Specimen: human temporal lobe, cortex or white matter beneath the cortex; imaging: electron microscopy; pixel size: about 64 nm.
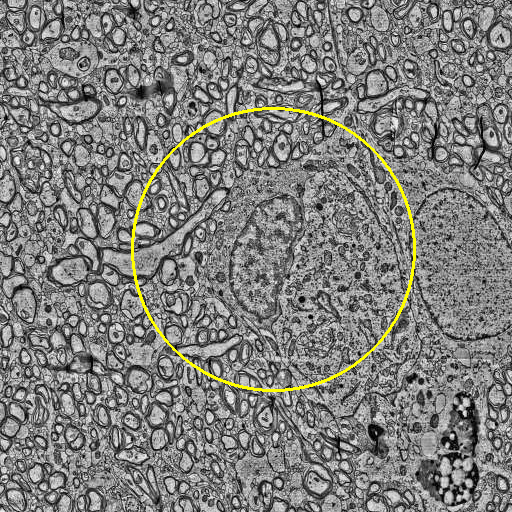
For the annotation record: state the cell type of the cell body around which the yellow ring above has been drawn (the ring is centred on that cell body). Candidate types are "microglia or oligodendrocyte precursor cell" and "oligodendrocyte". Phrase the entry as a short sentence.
The ringed cell is an oligodendrocyte.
